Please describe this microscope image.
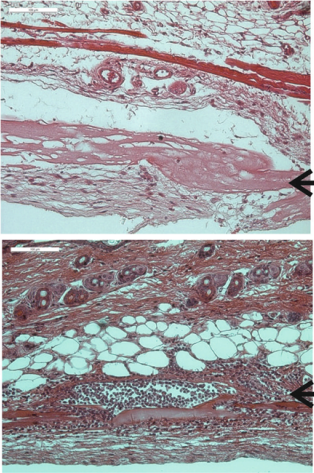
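In the upper image, long bands of deep red-pink muscle fibres run across the tissue above loose, pale connective tissue. A smooth, homogeneous pink depot with few nuclei lies under them, marked by an arrow. In the lower image, empty-looking white round fat cells and clusters of glandular or follicle structures with purple nuclei lie above the depot. The depot region in the lower image is surrounded and packed by many small, round, dark purple nuclei of infiltrating immune cells, which are nearly absent around the depot in the upper image.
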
